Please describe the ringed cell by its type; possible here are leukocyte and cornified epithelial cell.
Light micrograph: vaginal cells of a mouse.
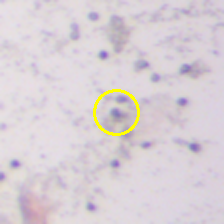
The yellow ring marks a leukocyte.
